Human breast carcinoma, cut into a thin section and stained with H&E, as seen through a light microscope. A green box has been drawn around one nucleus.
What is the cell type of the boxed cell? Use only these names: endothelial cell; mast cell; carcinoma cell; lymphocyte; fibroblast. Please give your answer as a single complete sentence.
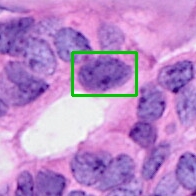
Assigned to a cell type, the boxed cell is a carcinoma cell.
